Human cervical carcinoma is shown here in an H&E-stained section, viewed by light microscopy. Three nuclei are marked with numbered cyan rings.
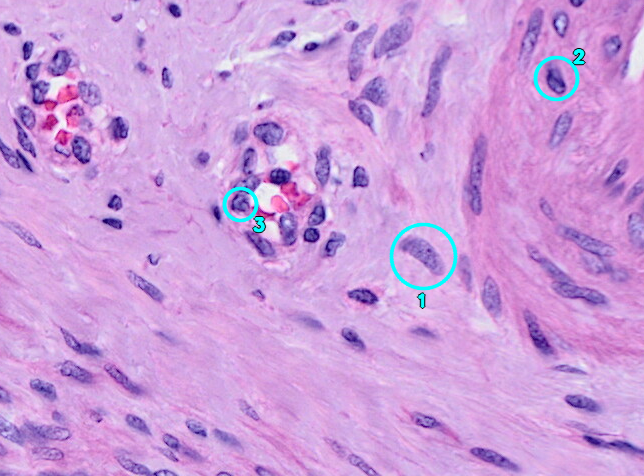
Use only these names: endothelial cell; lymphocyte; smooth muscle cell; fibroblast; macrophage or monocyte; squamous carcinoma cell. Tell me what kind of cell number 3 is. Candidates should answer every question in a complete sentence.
The cell numbered 3 represents an endothelial cell.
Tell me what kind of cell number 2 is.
The correct answer for cell 2 is a smooth muscle cell.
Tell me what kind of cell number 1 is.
The cell indicated by marker 1 is a fibroblast in this section.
